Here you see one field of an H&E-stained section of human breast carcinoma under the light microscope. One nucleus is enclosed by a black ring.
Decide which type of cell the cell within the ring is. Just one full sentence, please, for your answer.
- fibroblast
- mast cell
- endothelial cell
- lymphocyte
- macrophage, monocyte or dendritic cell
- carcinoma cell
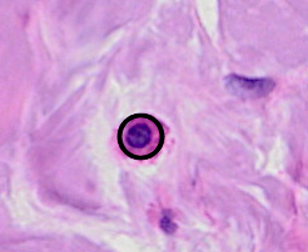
Typologically, the cell within the ring is a mast cell in this section.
